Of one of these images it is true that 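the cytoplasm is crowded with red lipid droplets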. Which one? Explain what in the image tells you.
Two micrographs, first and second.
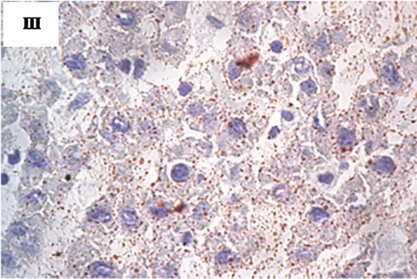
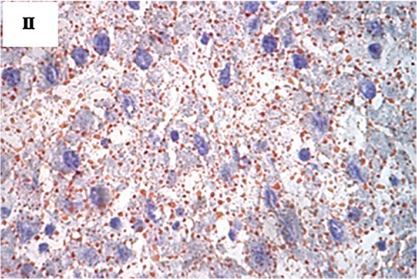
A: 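The second image. First image: red droplets are present but sparser, with paler areas of cytoplasm between them. Second image: red-orange droplets densely pack the cytoplasm across the whole field.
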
